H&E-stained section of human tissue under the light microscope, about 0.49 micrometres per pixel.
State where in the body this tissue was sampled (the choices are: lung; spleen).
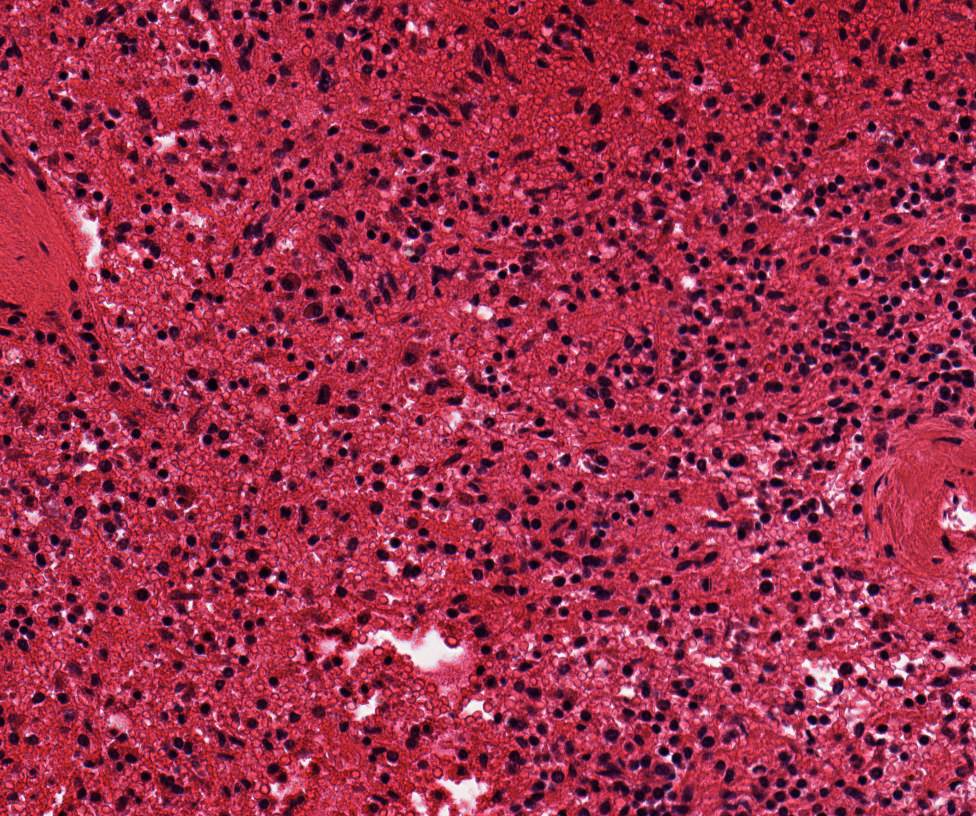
spleen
